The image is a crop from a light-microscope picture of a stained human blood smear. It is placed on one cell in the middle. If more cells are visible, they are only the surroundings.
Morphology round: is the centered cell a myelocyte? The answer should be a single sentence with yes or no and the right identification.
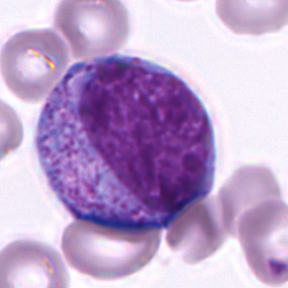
No, it is not a myelocyte that lies in the middle but a promyelocyte.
